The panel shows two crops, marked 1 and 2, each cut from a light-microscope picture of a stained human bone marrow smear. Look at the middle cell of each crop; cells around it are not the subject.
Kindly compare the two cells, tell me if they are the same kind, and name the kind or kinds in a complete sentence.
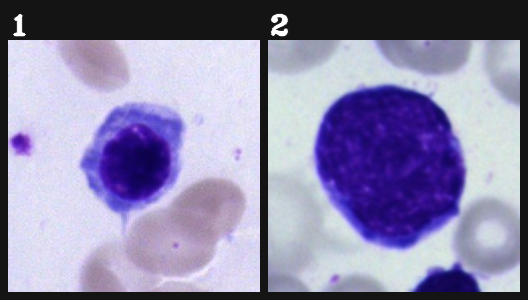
No, mark crop 1 as a normoblast and crop 2 as a blast.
